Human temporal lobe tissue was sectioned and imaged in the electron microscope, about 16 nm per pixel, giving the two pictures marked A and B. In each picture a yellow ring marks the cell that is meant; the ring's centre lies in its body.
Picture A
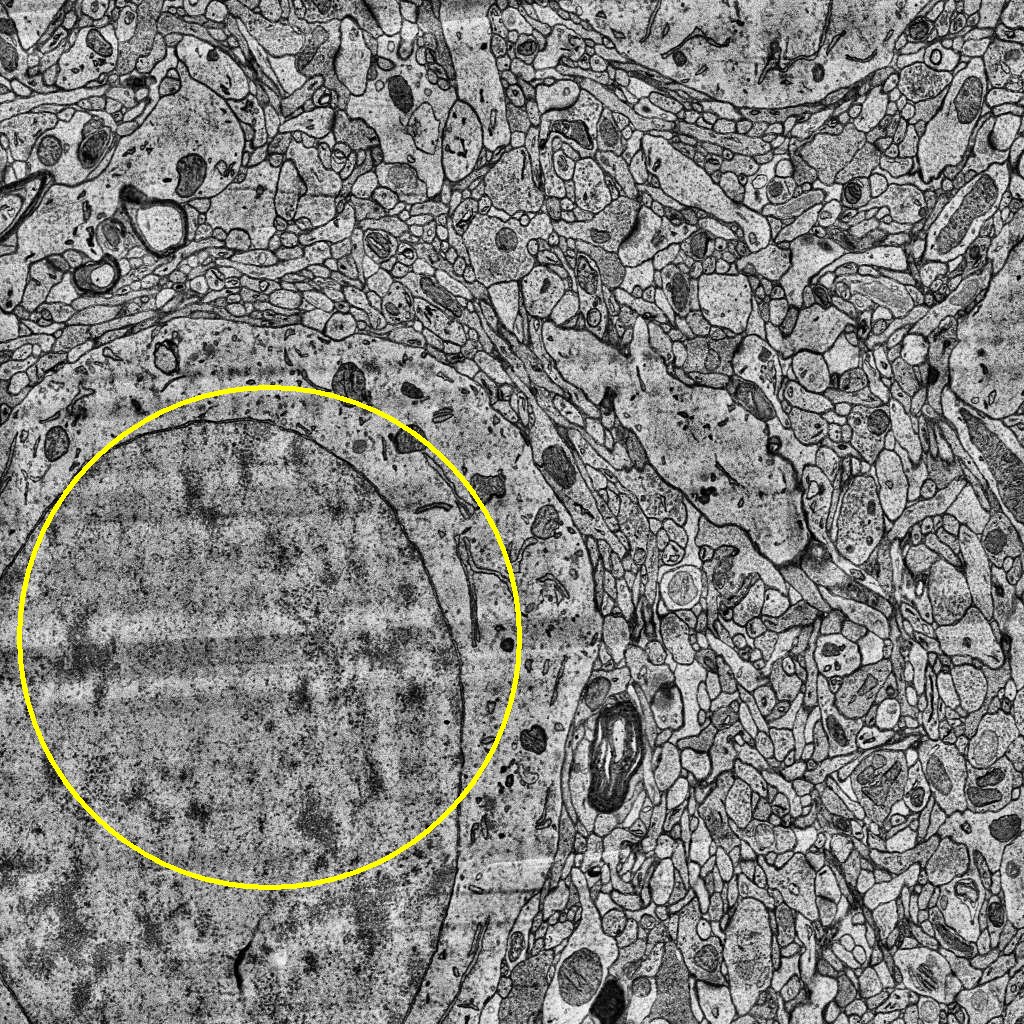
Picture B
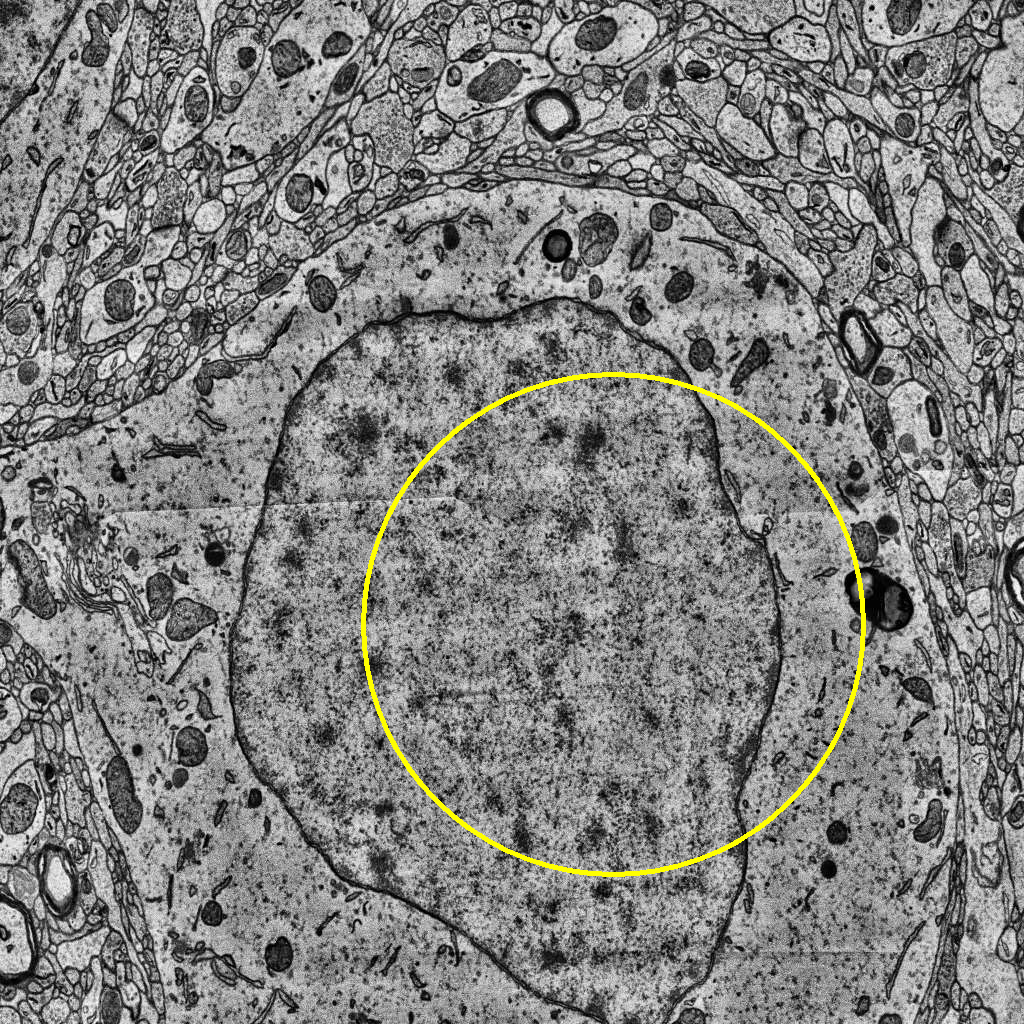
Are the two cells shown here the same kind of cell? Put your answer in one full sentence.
Yes, both cells are pyramidal neurons.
